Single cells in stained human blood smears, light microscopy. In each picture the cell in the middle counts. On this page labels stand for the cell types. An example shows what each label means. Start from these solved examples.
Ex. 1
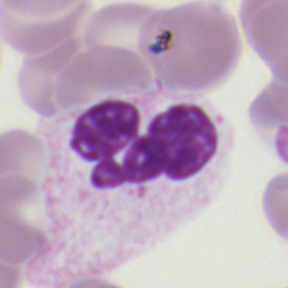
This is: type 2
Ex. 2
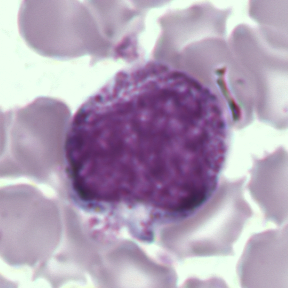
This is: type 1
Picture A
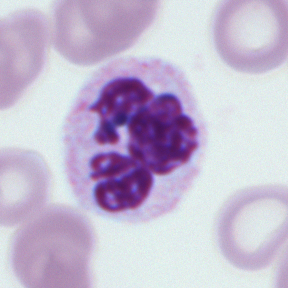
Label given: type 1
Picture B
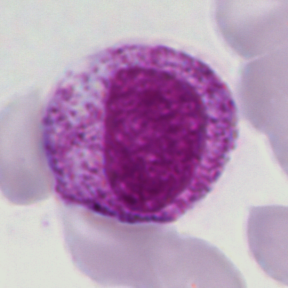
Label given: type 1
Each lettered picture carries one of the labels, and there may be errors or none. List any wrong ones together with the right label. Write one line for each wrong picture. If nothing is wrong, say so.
A is labelled type 1; correct label: type 2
